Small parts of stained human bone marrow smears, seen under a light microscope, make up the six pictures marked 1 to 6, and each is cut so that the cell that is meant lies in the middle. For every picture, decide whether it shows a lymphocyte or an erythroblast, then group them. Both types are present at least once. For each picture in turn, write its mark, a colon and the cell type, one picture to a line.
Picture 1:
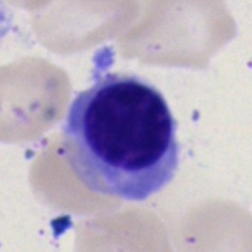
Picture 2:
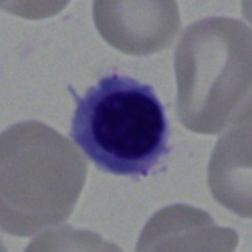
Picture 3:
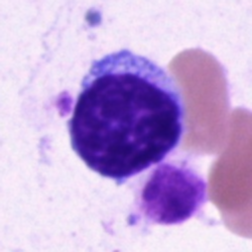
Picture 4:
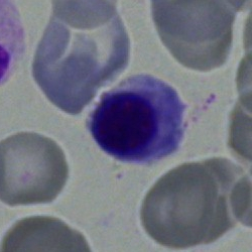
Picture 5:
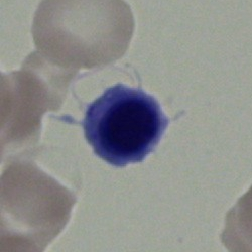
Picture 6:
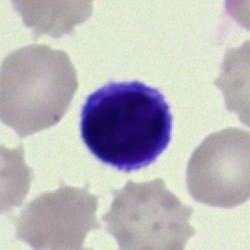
1: erythroblast
2: erythroblast
3: lymphocyte
4: erythroblast
5: erythroblast
6: lymphocyte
